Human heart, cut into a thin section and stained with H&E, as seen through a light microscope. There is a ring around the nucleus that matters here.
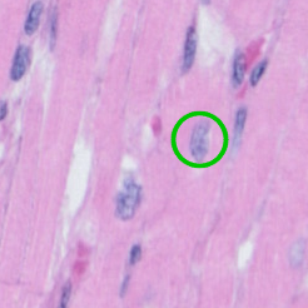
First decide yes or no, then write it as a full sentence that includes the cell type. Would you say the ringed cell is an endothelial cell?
No, not quite: the ringed cell is a cardiomyocyte rather than an endothelial cell.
